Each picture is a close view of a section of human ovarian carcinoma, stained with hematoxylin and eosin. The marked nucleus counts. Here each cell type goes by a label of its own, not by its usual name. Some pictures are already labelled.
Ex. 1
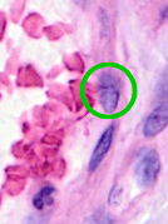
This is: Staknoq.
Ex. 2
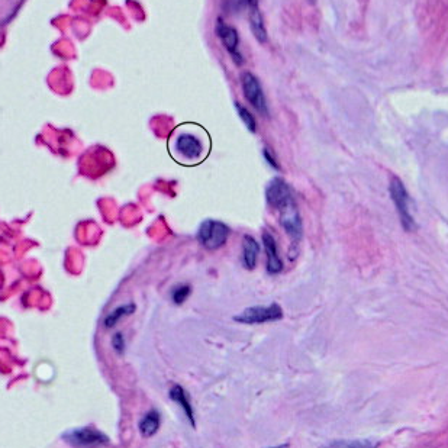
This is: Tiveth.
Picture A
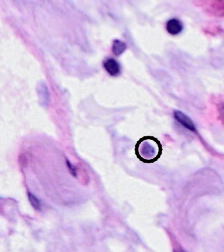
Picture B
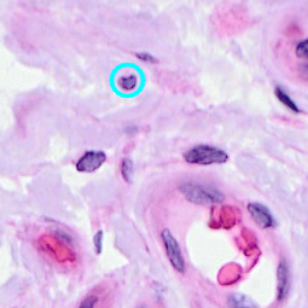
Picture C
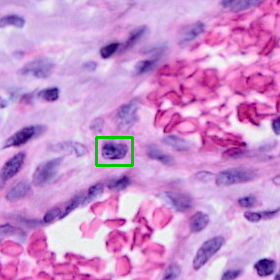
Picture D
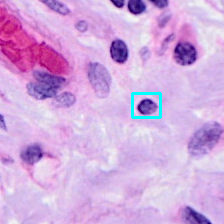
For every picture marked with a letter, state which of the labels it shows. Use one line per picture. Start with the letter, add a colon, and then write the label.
A: Tiveth.
B: Tiveth.
C: Tiveth.
D: Tiveth.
